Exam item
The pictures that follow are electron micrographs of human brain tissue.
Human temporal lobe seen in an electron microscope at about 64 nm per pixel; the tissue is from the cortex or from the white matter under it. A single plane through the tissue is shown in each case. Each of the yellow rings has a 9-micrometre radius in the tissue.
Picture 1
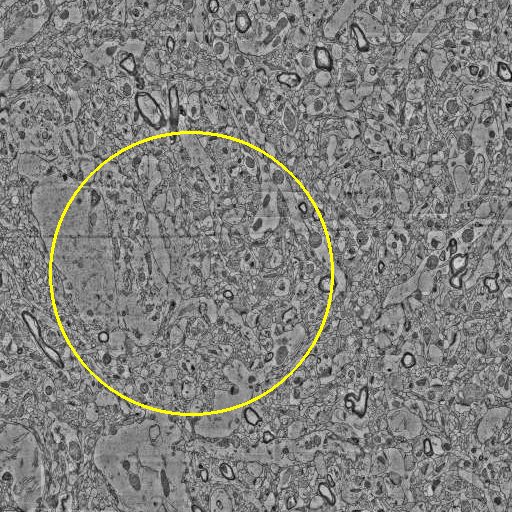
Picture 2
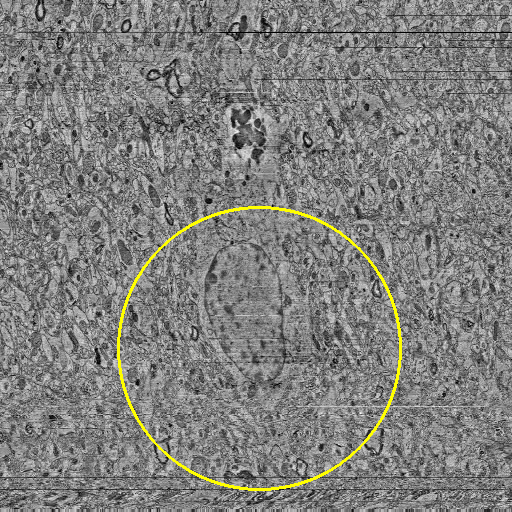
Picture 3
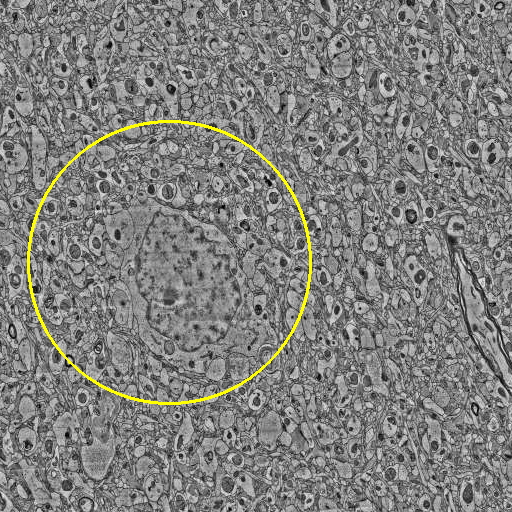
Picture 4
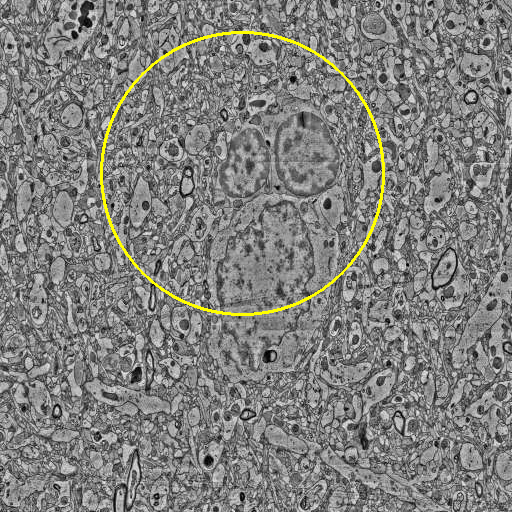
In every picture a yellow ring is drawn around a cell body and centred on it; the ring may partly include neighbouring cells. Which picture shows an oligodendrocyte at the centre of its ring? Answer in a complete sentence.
The cell at the centre of the ring in Picture 4 is the one asked for.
